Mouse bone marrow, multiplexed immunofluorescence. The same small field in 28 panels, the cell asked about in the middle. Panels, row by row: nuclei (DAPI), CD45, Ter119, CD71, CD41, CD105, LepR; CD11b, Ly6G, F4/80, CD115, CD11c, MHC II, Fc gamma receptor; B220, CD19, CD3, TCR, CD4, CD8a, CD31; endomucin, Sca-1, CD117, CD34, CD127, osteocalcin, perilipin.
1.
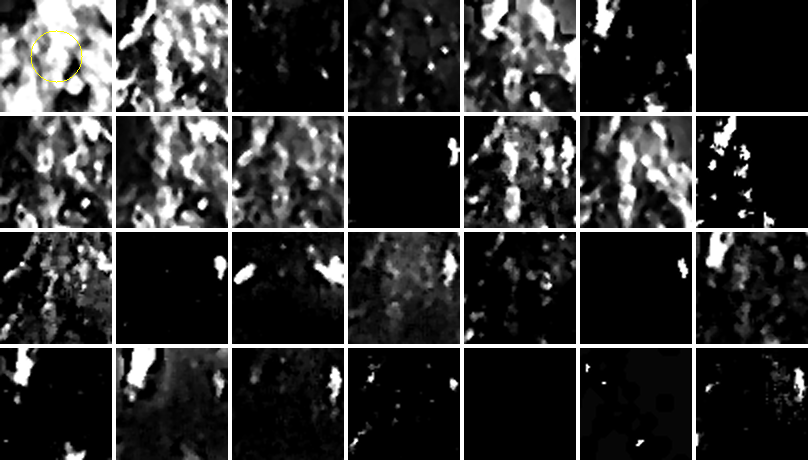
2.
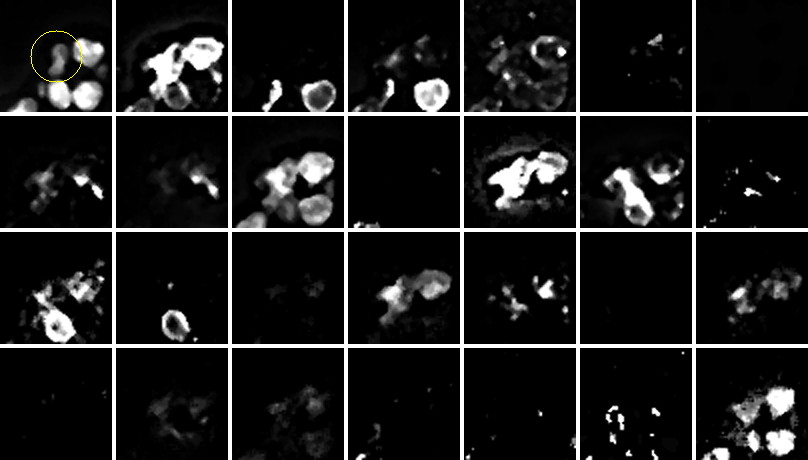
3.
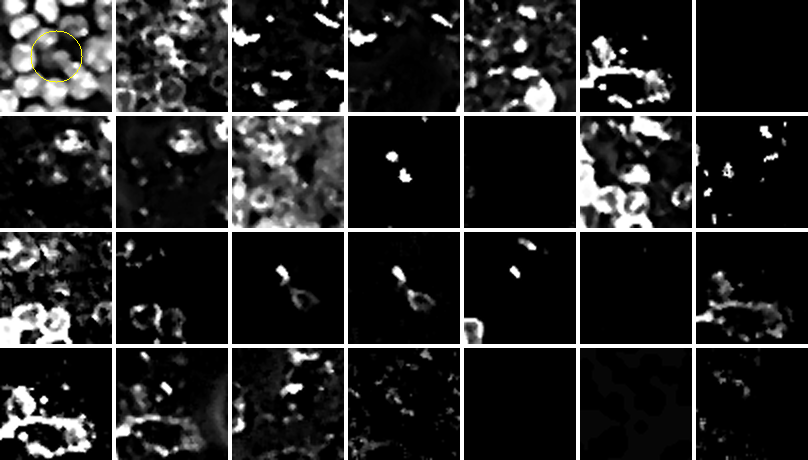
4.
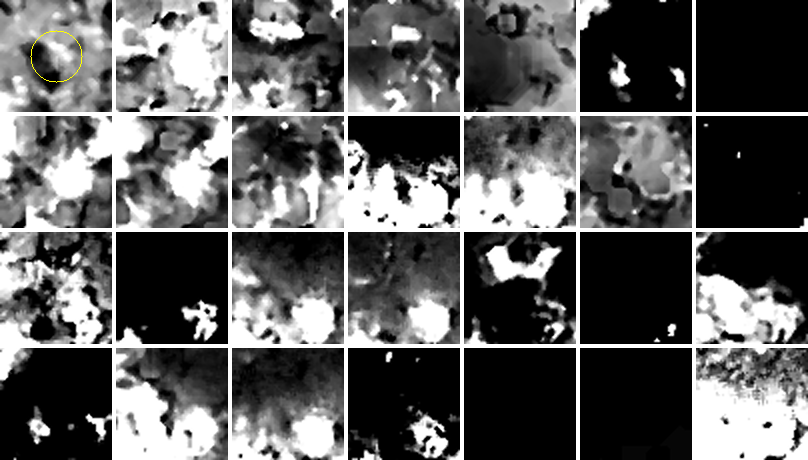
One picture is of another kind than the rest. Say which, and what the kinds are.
Picture 3 shows a monocyte; the rest show conventional dendritic cells.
